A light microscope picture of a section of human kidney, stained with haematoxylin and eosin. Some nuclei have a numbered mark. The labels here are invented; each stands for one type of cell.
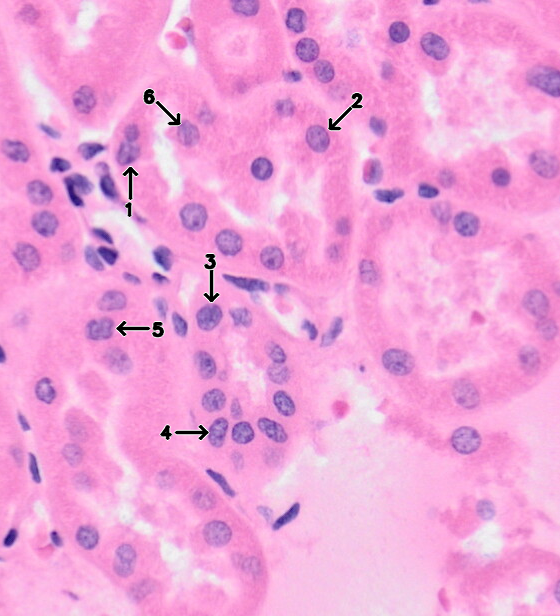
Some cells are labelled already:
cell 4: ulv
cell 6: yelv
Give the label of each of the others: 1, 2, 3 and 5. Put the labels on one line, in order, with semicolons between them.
yelv; yelv; ulv; yelv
